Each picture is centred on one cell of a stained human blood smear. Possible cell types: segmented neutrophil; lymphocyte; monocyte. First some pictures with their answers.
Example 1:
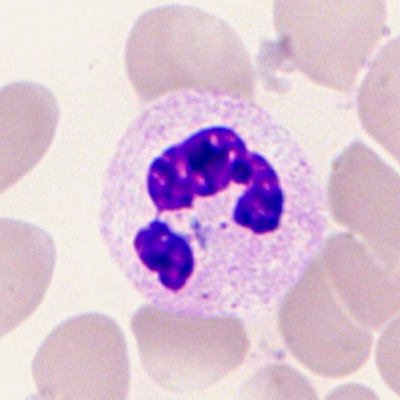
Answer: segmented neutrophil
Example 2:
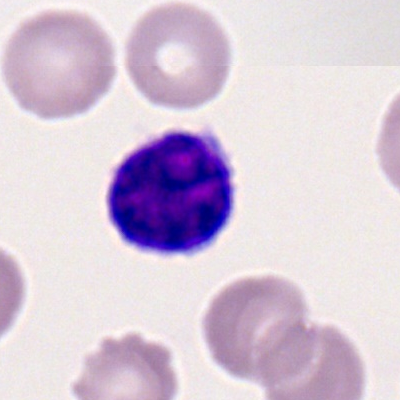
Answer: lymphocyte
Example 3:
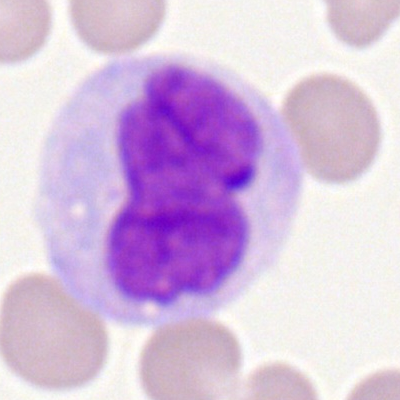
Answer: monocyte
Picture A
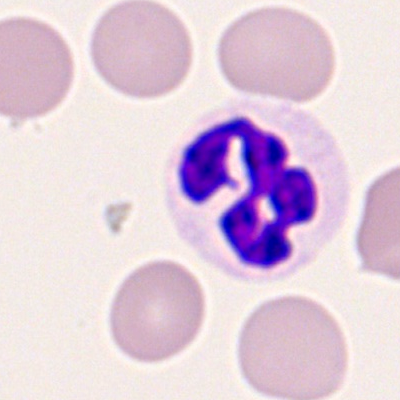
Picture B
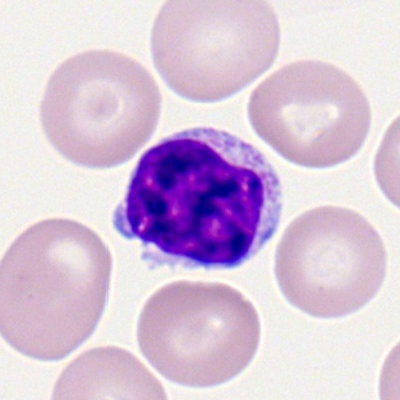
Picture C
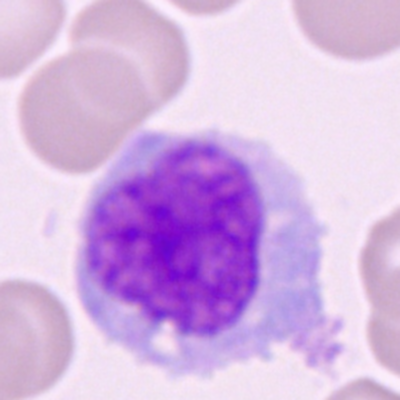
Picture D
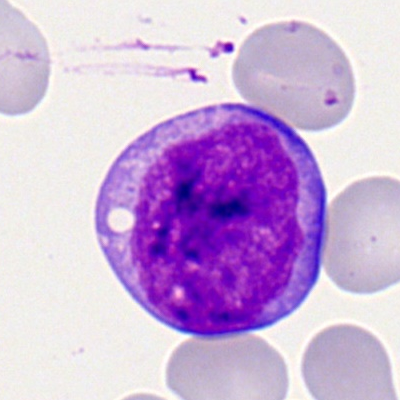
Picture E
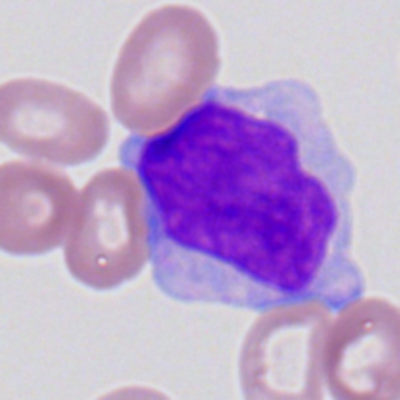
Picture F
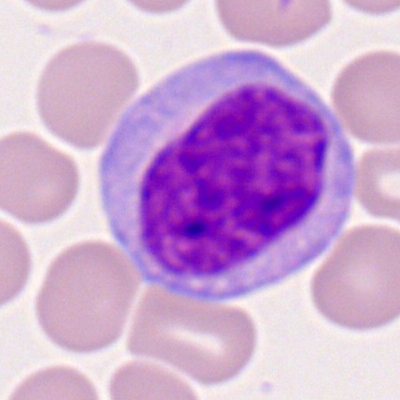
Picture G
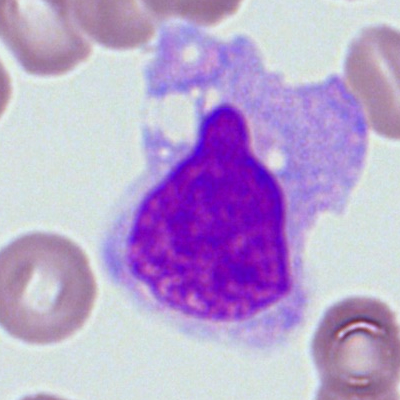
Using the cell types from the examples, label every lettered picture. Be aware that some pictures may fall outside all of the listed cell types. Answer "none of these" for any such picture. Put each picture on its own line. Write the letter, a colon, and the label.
A: segmented neutrophil
B: lymphocyte
C: monocyte
D: none of these
E: monocyte
F: monocyte
G: monocyte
